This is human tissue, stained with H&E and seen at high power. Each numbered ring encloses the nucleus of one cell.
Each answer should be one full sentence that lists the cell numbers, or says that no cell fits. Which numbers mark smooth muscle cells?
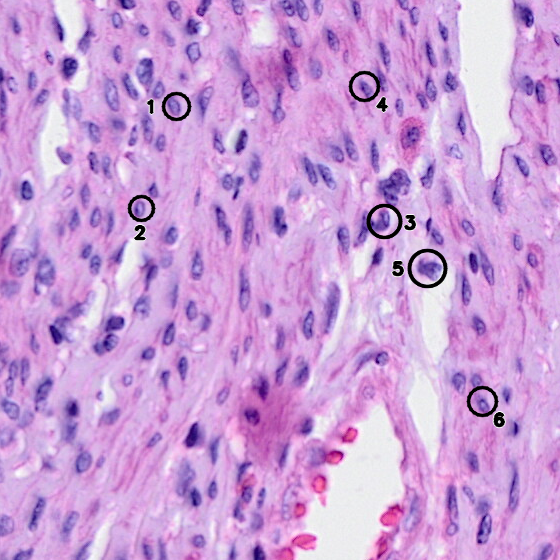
The cells labelled 1, 2, 4 and 6 in this section are smooth muscle cells.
